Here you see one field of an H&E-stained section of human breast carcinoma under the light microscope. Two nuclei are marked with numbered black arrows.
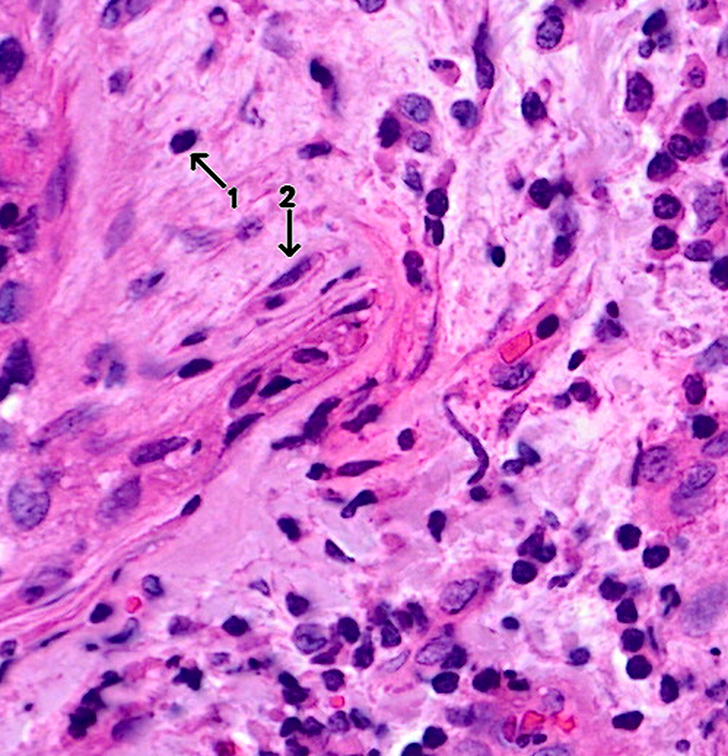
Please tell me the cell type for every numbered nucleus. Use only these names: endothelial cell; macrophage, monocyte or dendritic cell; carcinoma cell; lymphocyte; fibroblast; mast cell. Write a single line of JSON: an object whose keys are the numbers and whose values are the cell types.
{"1": "lymphocyte", "2": "fibroblast"}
